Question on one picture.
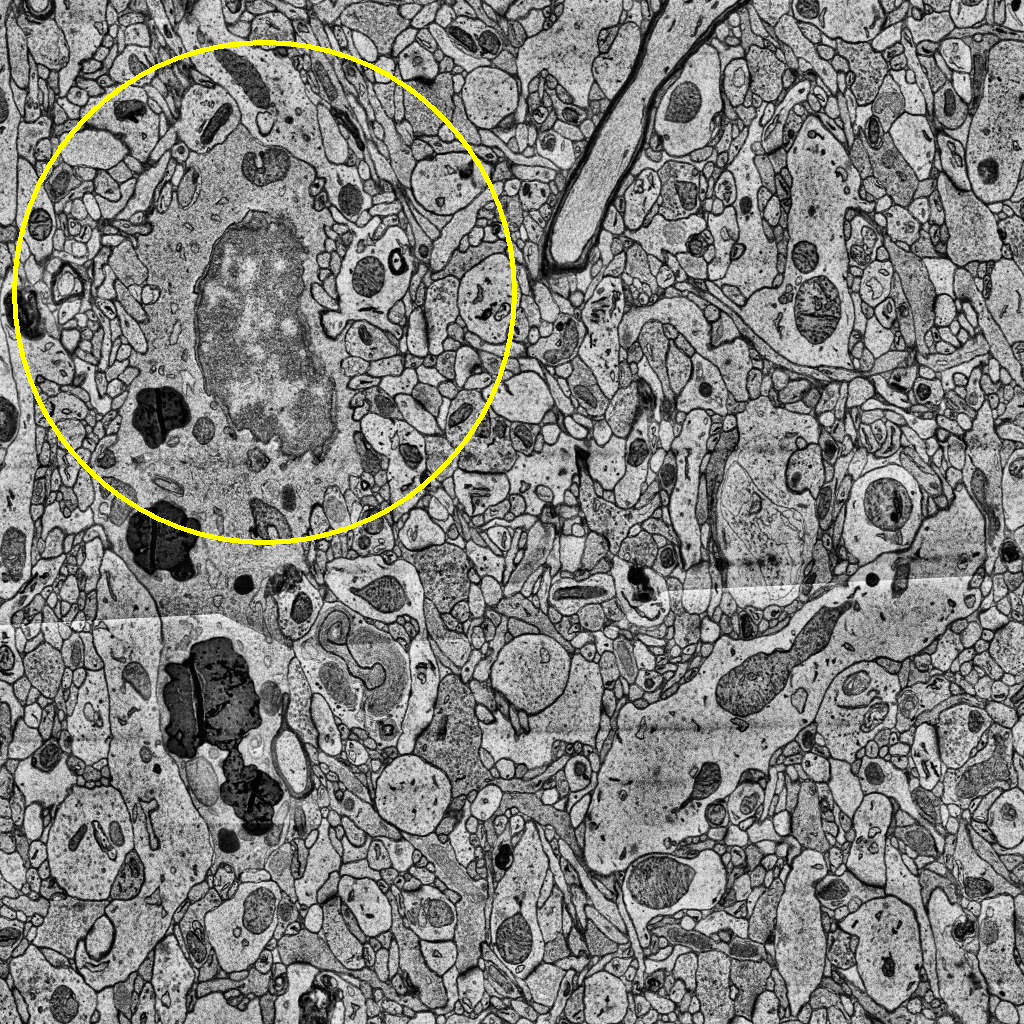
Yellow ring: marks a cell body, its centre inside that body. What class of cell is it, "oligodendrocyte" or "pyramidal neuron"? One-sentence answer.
This is an oligodendrocyte, the cell at the ring's centre.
